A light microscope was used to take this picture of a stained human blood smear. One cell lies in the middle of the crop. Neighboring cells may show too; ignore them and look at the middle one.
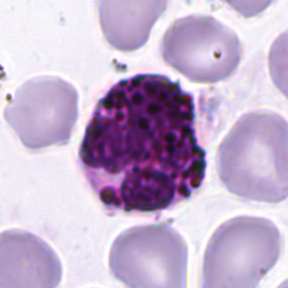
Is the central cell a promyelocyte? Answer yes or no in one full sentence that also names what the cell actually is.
No, looking at the central cell, it is a basophil rather than a promyelocyte.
